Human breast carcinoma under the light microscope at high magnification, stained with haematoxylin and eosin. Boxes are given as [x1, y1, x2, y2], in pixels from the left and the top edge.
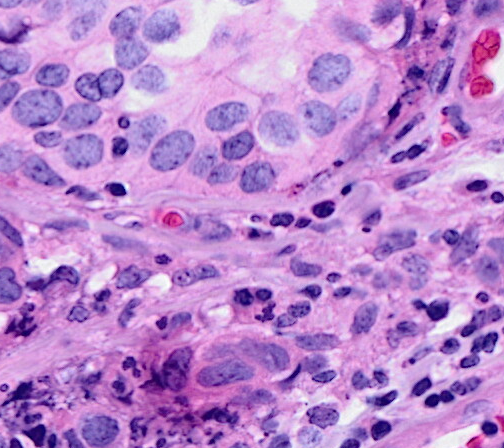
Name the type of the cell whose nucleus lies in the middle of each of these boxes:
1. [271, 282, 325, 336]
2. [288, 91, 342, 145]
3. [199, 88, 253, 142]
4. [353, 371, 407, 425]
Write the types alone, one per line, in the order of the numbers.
lymphocyte
carcinoma cell
carcinoma cell
lymphocyte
